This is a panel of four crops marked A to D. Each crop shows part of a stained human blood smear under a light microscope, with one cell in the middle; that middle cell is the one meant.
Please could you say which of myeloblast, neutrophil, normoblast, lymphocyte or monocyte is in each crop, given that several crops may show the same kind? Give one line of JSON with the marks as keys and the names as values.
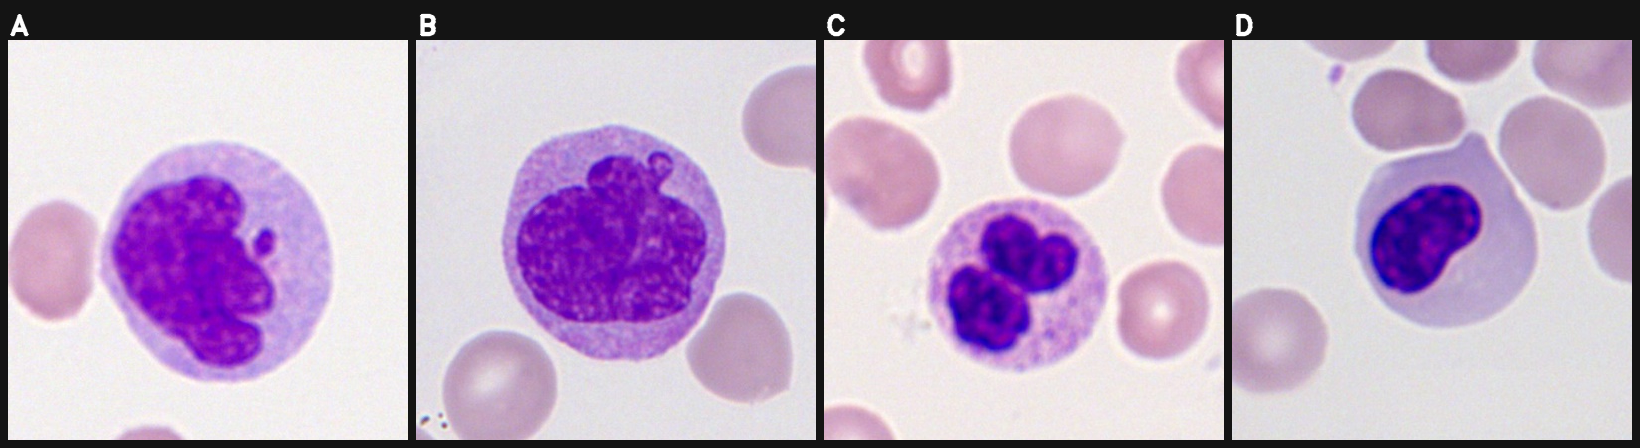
{"A": "monocyte", "B": "monocyte", "C": "neutrophil", "D": "normoblast"}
